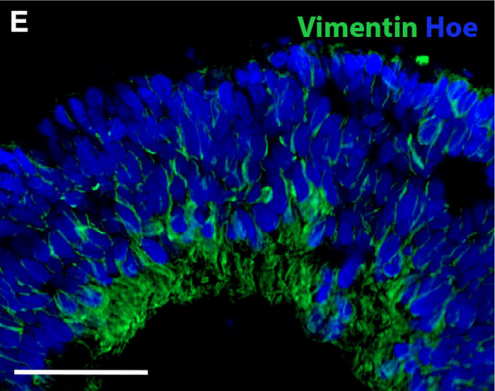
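The blue nuclei are oval to elongated and crowded in several rows, aligned radially across the curved layer. Fine green threads run between the nuclei in the same radial direction, spanning much of the thickness of the epithelium. Toward the inner side, at the bottom, the green becomes a dense, fibrous meshwork lining the edge of a dark central lumen. Near the outer surface the green is sparser, appearing as thin strands and small bright dots among the nuclei.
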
